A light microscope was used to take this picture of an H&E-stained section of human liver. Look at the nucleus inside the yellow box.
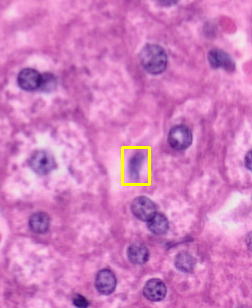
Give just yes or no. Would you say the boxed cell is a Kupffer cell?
yes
